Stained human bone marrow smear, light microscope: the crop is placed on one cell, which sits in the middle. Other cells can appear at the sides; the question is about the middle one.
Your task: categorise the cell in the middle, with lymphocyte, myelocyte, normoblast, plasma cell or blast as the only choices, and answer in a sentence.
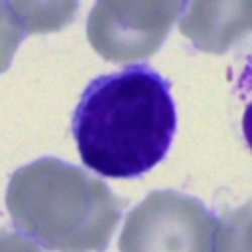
This particular crop is centered on a lymphocyte.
